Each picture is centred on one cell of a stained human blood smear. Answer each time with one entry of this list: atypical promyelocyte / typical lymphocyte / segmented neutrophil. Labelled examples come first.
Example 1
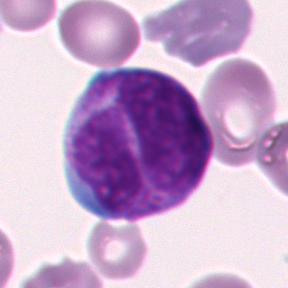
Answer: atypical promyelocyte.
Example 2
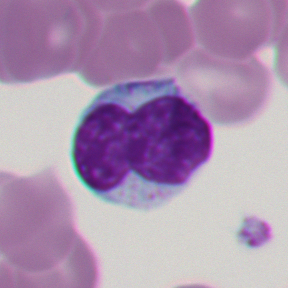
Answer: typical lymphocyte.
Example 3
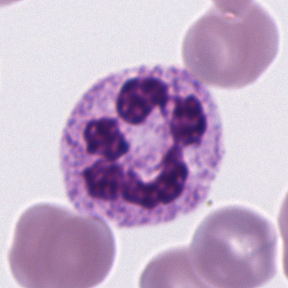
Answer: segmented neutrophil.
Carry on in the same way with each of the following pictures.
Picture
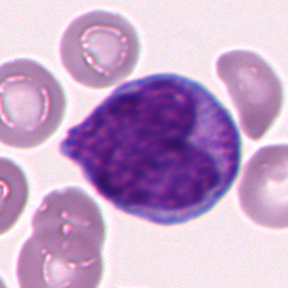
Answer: atypical promyelocyte.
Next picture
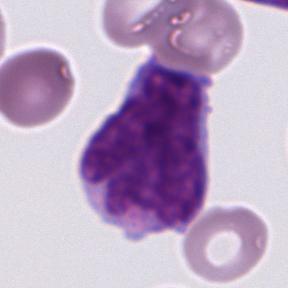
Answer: atypical promyelocyte.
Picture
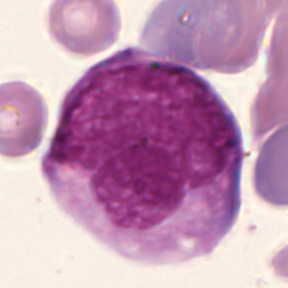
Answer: atypical promyelocyte.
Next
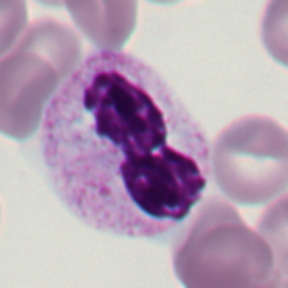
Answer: segmented neutrophil.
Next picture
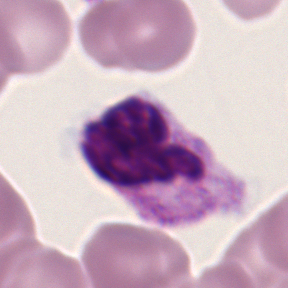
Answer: segmented neutrophil.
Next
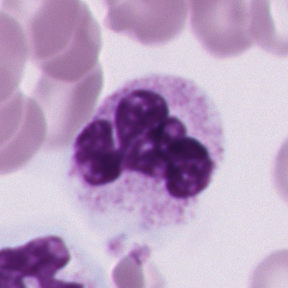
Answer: segmented neutrophil.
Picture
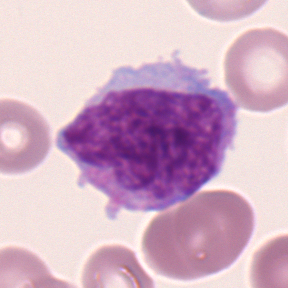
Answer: atypical promyelocyte.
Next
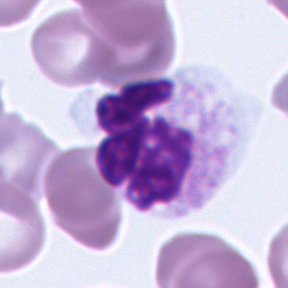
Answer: segmented neutrophil.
